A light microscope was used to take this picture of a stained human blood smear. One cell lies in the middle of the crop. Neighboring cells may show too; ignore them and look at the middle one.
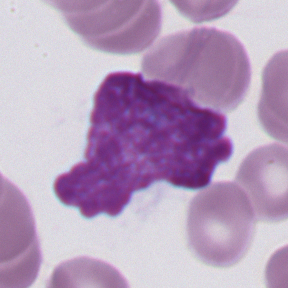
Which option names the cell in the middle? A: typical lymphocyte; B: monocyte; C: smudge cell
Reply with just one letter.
C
